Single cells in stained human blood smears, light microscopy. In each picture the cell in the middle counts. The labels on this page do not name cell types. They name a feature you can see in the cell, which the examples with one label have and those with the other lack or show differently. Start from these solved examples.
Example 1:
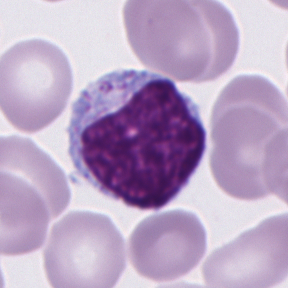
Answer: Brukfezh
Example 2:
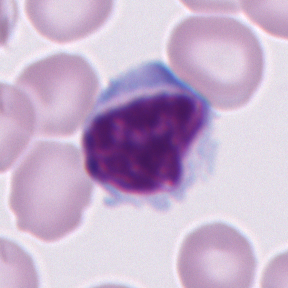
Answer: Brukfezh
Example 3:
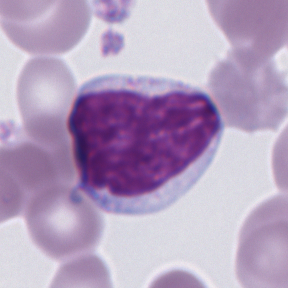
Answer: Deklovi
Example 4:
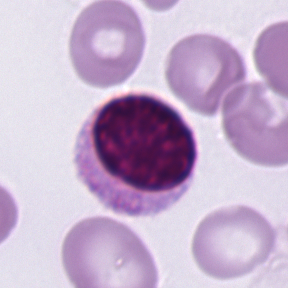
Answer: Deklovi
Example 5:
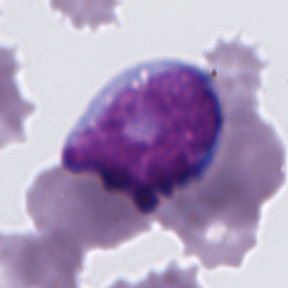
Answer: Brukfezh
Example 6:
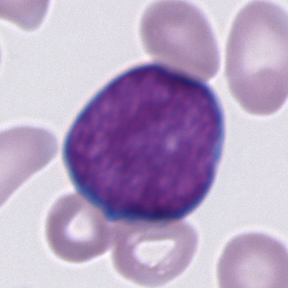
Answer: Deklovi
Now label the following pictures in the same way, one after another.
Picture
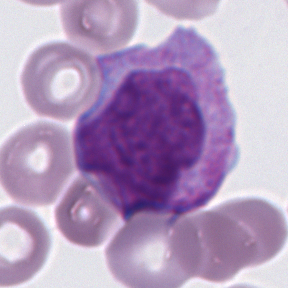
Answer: Brukfezh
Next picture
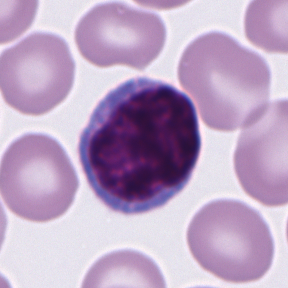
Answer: Deklovi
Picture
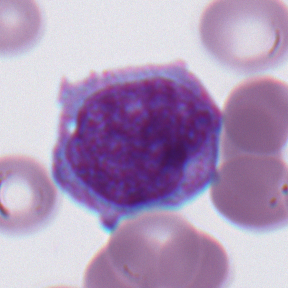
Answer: Brukfezh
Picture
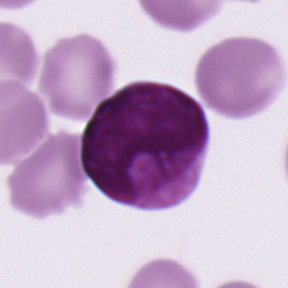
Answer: Deklovi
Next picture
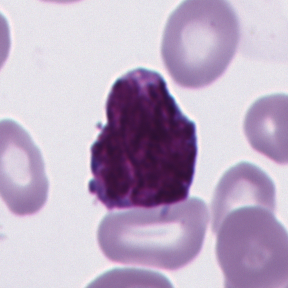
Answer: Brukfezh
